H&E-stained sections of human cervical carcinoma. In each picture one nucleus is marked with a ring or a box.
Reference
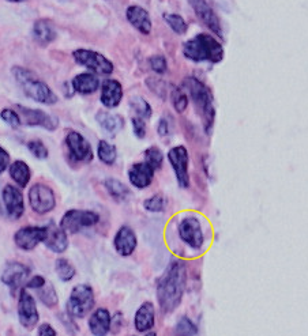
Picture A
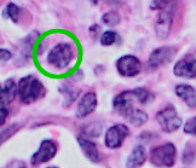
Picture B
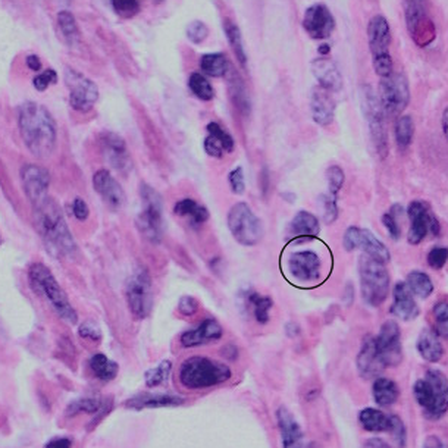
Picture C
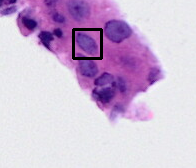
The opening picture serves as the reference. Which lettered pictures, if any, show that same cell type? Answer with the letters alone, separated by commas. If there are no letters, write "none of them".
A, B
